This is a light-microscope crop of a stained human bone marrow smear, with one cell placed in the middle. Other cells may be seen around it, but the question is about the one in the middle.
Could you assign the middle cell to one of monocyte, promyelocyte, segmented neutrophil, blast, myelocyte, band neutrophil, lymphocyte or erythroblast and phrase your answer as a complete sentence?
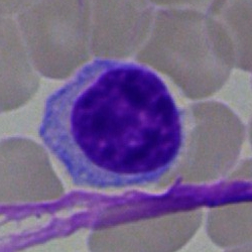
The cell of interest, located centrally, is a lymphocyte.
